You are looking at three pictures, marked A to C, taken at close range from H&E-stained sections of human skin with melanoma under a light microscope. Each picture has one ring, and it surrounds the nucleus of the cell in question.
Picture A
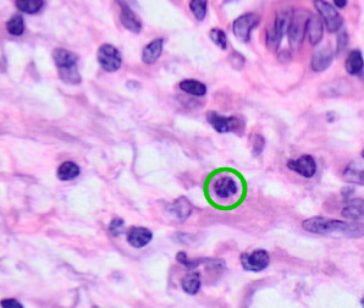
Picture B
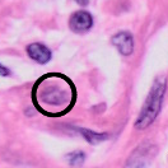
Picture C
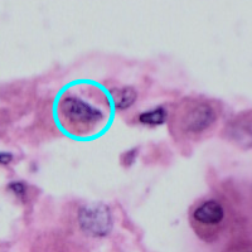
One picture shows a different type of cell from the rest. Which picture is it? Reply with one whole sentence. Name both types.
All pictures except A show “macrophages or monocytes”; picture A shows a plasma cell.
